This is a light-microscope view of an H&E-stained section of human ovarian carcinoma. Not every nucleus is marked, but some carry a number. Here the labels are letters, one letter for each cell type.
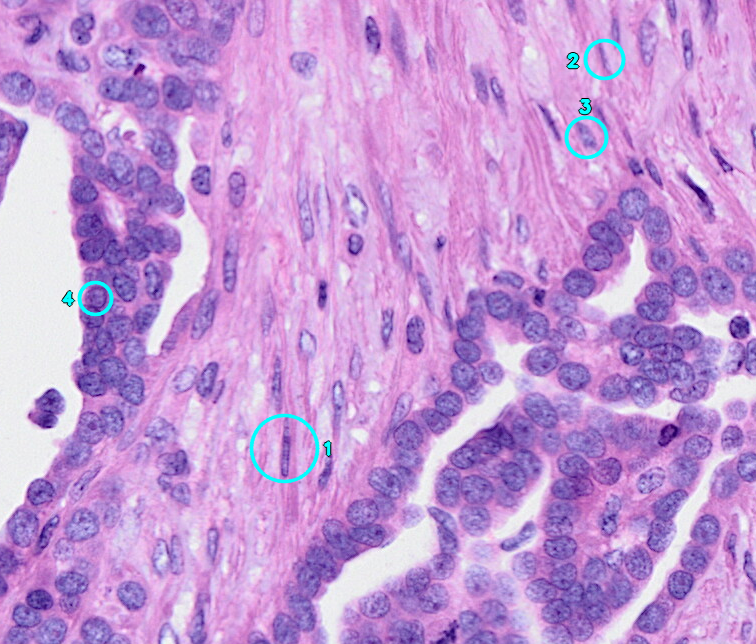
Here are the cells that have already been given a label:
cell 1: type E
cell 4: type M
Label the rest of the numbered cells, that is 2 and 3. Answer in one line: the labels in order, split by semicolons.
type E; type E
